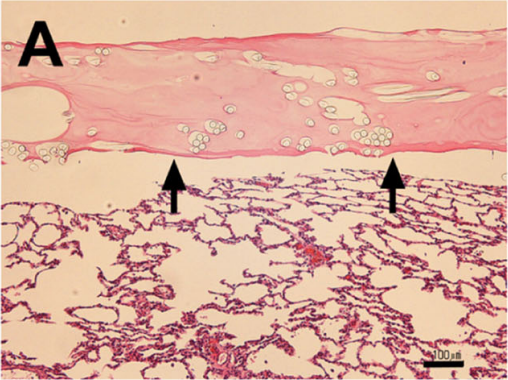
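This is lung parenchyma, with thin septa bearing small purple nuclei around many open air spaces in the lower part of the field. Above it lies a broad, homogeneous pink acellular band containing round clear bubbles and clefts. A clean, empty gap separates the lower border of this band from the underlying alveolar tissue.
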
